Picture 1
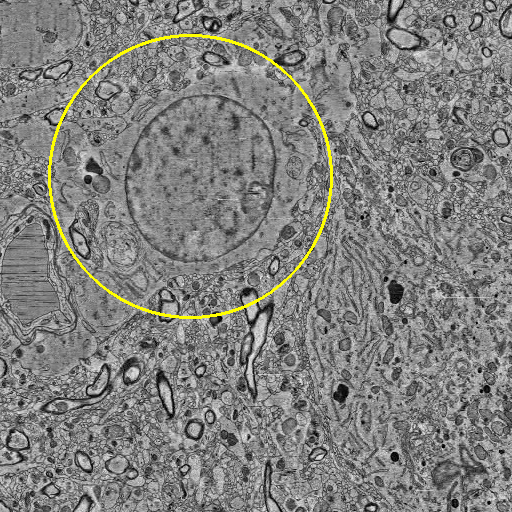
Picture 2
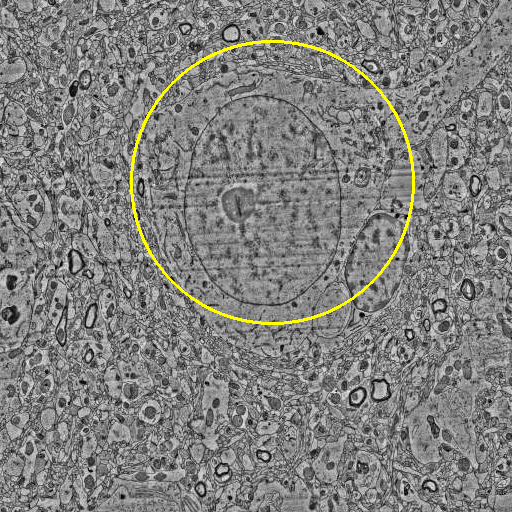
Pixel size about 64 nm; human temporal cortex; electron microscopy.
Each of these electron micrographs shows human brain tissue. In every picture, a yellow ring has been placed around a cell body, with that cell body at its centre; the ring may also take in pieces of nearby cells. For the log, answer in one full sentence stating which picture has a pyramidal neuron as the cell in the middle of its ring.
In picture 2, the cell at the centre of the yellow ring is the requested one.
